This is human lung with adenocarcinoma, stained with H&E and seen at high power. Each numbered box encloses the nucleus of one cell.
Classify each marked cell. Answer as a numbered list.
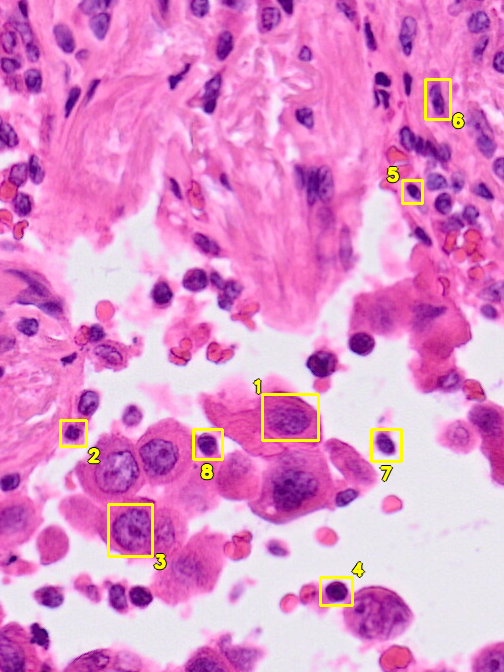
1. carcinoma cell
2. lymphocyte
3. carcinoma cell
4. lymphocyte
5. lymphocyte
6. plasma cell
7. lymphocyte
8. lymphocyte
